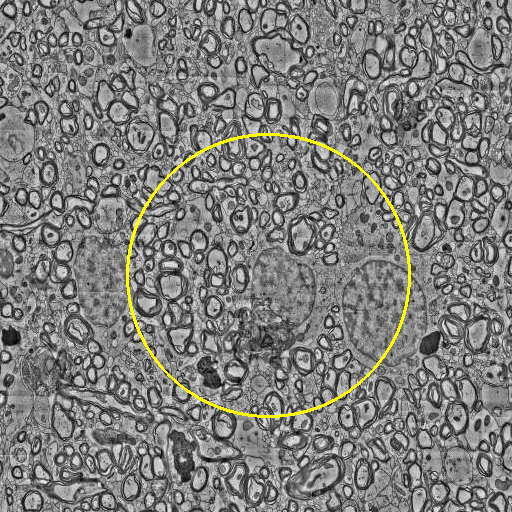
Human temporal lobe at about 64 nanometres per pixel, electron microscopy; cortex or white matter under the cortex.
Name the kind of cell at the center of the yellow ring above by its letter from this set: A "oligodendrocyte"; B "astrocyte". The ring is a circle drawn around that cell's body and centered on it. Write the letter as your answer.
A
